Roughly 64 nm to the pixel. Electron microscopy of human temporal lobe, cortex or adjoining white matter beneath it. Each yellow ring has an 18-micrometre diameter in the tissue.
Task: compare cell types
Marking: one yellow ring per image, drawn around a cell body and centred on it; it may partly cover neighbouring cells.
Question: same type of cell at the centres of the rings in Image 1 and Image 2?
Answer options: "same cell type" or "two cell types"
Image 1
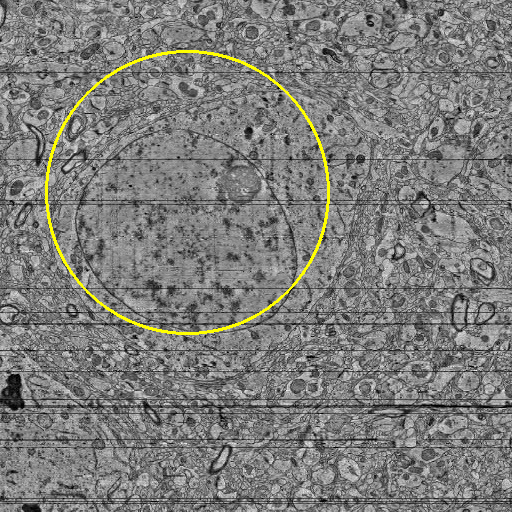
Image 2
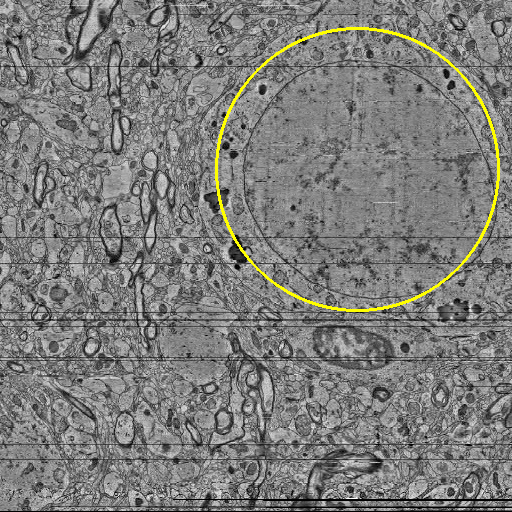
same cell type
